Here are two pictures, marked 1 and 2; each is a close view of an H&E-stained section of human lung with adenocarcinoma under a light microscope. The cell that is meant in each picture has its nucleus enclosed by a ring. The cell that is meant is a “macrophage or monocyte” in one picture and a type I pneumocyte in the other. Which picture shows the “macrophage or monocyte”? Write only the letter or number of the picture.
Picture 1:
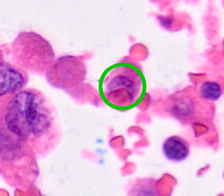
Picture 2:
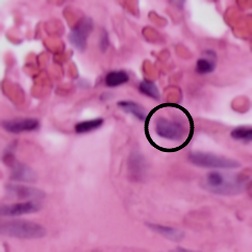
1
